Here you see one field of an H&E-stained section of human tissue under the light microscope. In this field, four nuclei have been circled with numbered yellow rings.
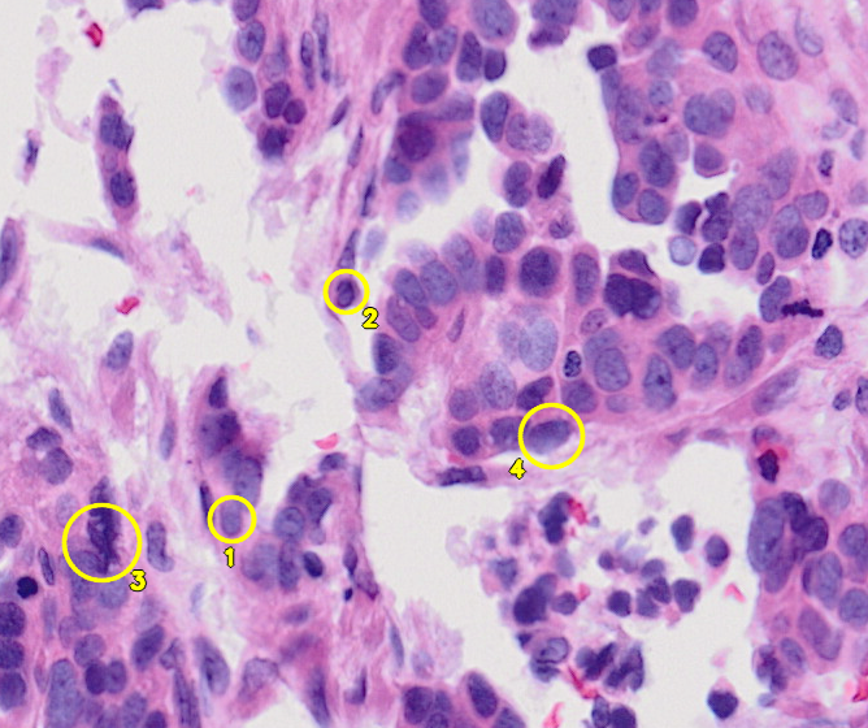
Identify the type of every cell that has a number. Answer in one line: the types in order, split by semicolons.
carcinoma cell; macrophage or monocyte; carcinoma cell; carcinoma cell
